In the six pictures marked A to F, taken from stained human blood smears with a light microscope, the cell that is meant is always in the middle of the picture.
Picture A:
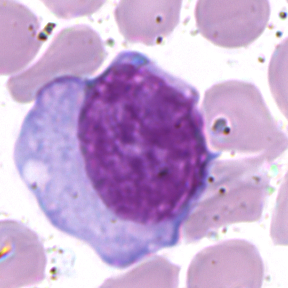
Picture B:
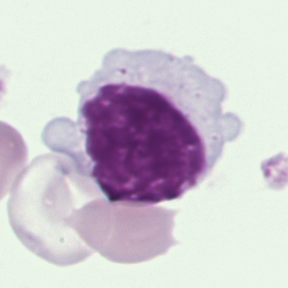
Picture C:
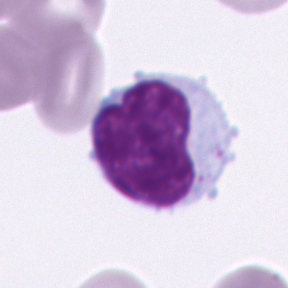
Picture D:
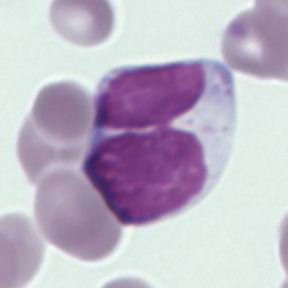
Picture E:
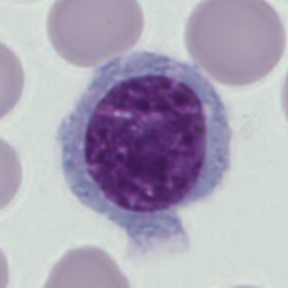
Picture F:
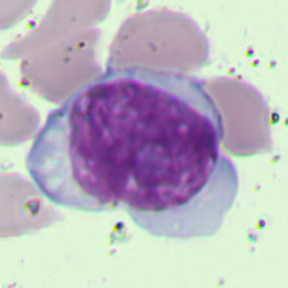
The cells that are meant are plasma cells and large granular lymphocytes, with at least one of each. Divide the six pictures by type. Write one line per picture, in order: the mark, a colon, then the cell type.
A: plasma cell
B: large granular lymphocyte
C: large granular lymphocyte
D: large granular lymphocyte
E: plasma cell
F: plasma cell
